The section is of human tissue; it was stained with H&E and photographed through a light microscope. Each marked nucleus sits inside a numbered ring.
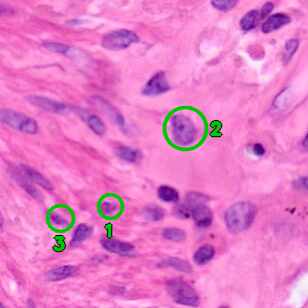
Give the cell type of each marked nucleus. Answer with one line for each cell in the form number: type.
1: smooth muscle cell or pericyte
2: fibroblast
3: smooth muscle cell or pericyte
